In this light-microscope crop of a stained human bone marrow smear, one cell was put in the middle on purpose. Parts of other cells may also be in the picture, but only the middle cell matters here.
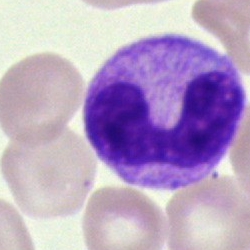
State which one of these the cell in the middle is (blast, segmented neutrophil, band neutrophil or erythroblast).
band neutrophil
